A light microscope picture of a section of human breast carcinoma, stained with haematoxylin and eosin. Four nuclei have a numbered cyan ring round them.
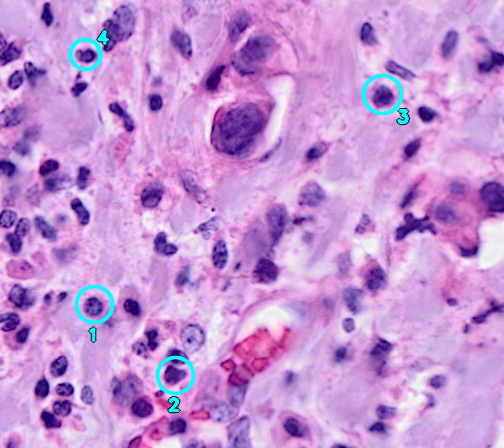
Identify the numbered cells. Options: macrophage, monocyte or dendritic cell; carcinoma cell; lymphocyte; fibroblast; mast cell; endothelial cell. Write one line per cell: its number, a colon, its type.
1: mast cell
2: lymphocyte
3: lymphocyte
4: lymphocyte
